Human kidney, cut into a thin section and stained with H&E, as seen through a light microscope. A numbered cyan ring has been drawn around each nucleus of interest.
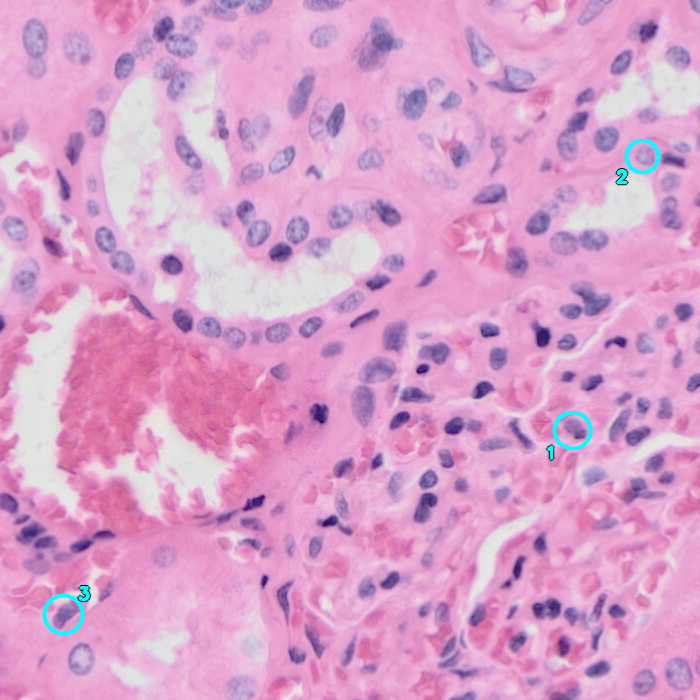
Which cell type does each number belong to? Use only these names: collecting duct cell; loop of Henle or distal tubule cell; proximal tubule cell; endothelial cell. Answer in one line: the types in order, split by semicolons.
endothelial cell; collecting duct cell; endothelial cell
